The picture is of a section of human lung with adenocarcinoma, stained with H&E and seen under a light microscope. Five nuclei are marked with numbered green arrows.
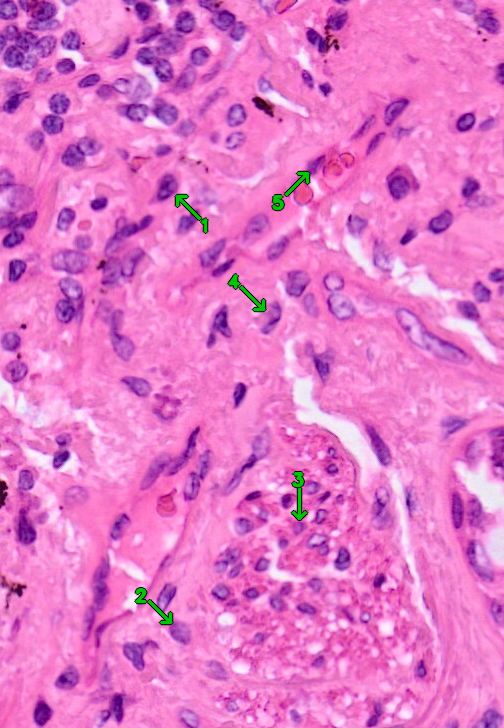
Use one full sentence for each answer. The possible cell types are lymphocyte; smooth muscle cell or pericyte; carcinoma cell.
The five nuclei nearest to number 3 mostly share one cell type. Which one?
The majority of the five nuclei closest to number 3 belong to smooth muscle cells or pericytes.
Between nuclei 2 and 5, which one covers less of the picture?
It is nucleus 5; nucleus 2 has about 2.5 times its area.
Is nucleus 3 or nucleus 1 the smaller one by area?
Nucleus 3 is the smaller one; nucleus 1 covers about 3 times its area.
